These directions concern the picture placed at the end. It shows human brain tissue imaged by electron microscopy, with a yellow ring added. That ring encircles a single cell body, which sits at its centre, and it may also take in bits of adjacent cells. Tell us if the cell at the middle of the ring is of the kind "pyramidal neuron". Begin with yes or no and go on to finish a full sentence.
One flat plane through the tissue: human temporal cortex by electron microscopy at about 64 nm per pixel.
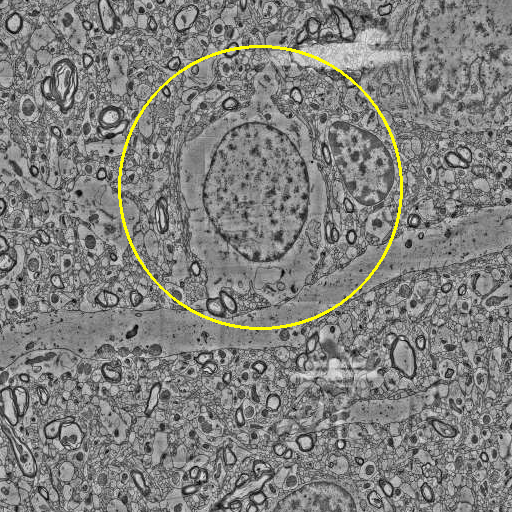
No, the cell sitting at the centre of the yellow ring in the picture belongs to another kind.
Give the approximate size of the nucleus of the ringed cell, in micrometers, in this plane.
Roughly 9 micrometres by 7 micrometres, in this plane.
